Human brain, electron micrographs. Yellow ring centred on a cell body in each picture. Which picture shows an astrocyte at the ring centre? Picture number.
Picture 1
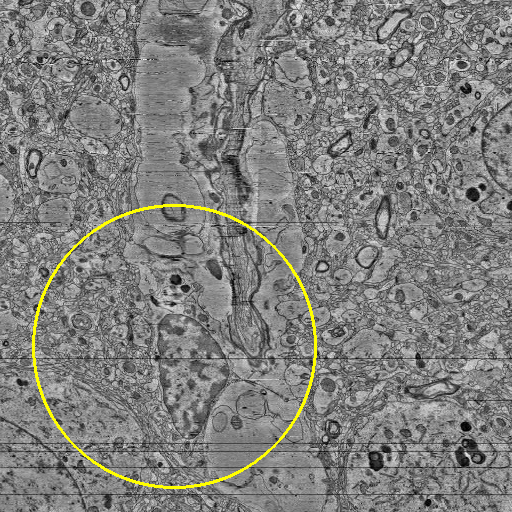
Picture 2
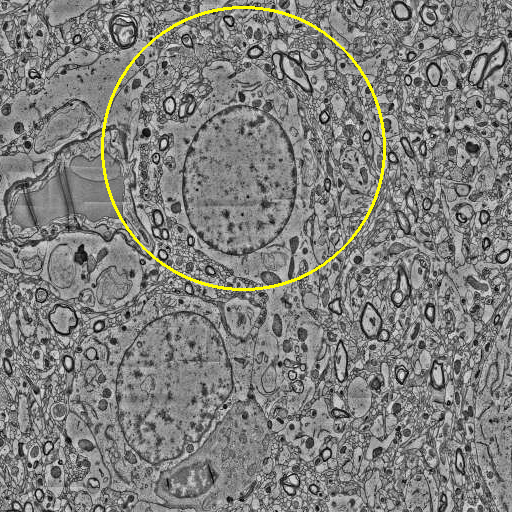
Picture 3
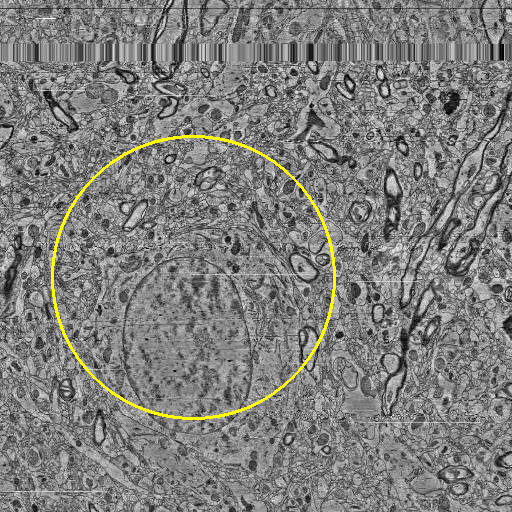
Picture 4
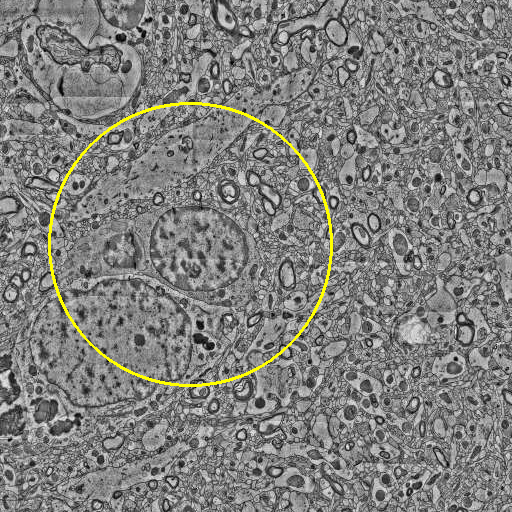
2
